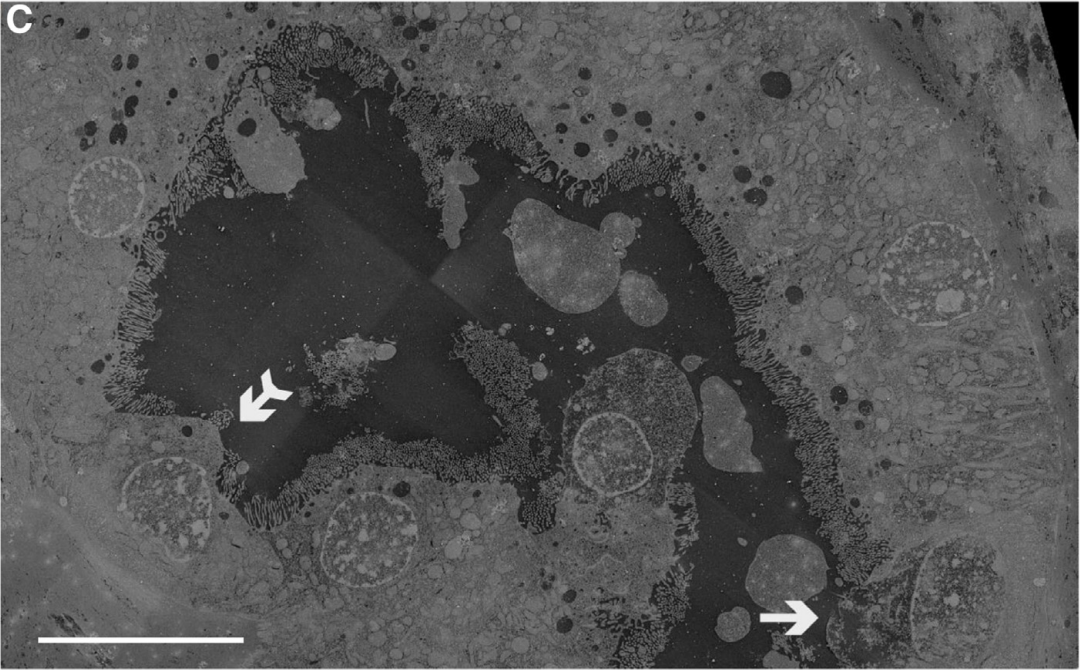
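This electron micrograph shows a cross-section of a kidney proximal tubule with its epithelial cells arranged around an irregular, dark lumen. Most of the luminal surface is lined by a tall, dense fringe of microvilli forming a brush border. The cells have large round nuclei with granular chromatin and cytoplasm filled with numerous organelles and dense round bodies. Rounded fragments of cytoplasm float in the lumen. At one site the microvillous fringe is thin and sparse, and at another, lower right, a cell faces the lumen with no brush border at all and appears poor in organelles.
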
